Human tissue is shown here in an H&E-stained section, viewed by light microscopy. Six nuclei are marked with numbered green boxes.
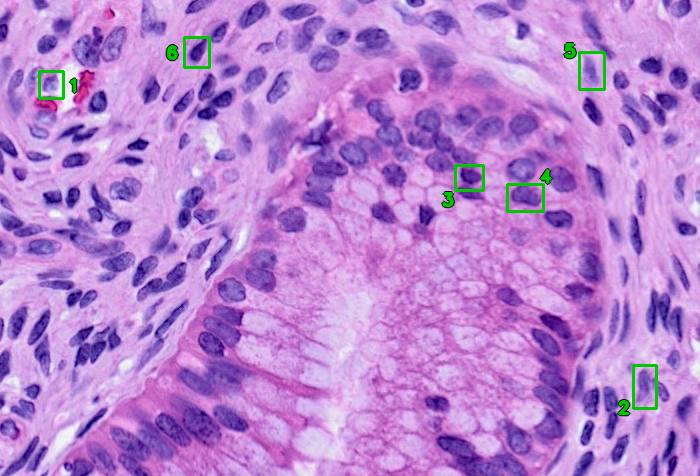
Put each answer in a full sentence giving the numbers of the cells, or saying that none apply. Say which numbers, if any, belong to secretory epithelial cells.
The cells with numbers 3 and 4 are secretory epithelial cells by type.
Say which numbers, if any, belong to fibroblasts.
Identification: the cells with numbers 2, 5 and 6 are fibroblasts.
